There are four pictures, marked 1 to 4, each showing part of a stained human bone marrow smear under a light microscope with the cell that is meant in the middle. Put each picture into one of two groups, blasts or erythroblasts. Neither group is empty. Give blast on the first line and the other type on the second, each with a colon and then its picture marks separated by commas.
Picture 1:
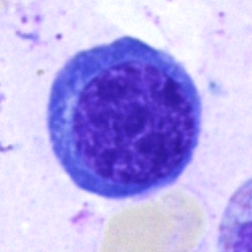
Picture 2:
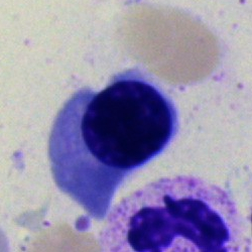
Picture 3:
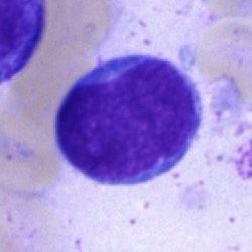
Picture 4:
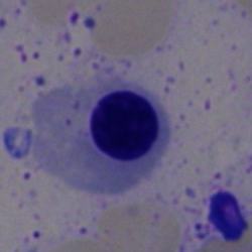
blast: 3
erythroblast: 1, 2, 4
